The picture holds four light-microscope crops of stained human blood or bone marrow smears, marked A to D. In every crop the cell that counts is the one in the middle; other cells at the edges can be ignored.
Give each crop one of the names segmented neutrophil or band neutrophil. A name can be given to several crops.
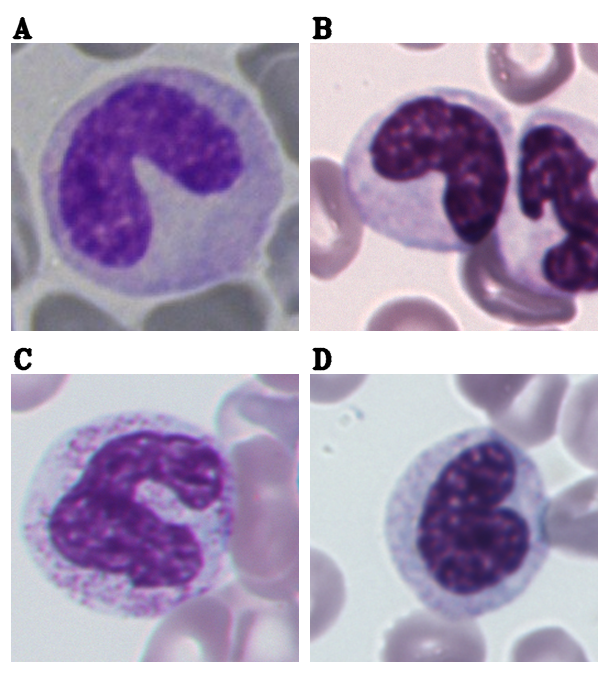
A: band neutrophil
B: band neutrophil
C: segmented neutrophil
D: band neutrophil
